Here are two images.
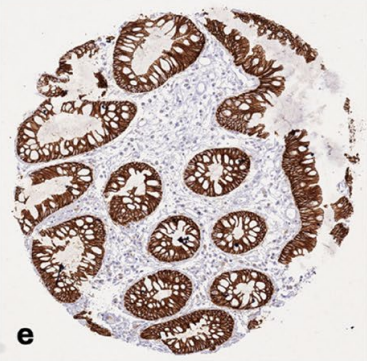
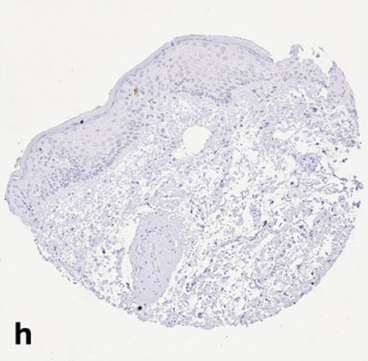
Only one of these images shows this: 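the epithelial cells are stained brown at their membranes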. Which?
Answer: The first image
